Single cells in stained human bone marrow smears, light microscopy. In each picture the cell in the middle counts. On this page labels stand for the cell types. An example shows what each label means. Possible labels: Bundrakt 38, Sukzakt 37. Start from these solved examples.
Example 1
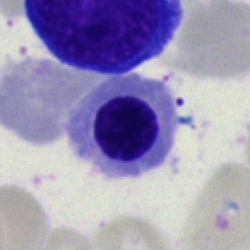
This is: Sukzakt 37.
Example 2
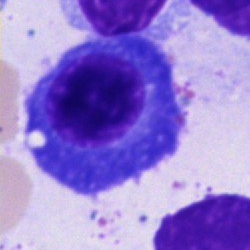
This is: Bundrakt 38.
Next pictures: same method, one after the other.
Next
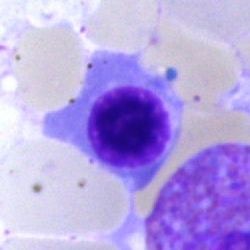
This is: Sukzakt 37.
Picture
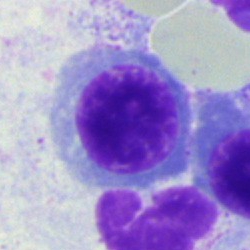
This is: Sukzakt 37.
